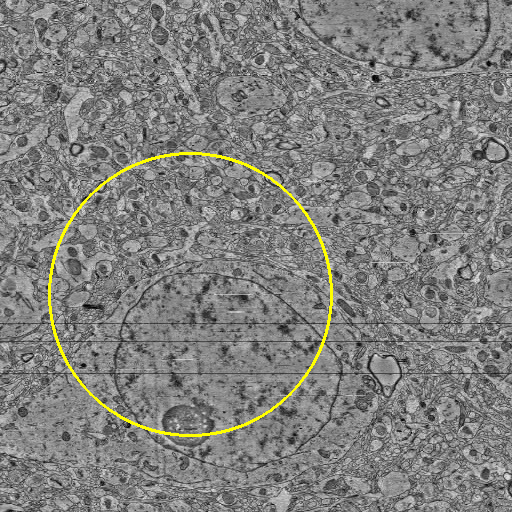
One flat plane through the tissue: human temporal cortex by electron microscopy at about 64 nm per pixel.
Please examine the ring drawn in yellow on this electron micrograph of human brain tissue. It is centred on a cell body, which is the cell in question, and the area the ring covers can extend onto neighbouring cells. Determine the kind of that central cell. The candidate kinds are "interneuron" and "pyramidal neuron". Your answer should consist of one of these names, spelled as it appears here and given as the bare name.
pyramidal neuron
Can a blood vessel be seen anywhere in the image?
No, no vessel appears in the picture.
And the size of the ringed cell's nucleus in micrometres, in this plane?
Approximately 15 micrometres long and 13 micrometres wide, in this plane.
